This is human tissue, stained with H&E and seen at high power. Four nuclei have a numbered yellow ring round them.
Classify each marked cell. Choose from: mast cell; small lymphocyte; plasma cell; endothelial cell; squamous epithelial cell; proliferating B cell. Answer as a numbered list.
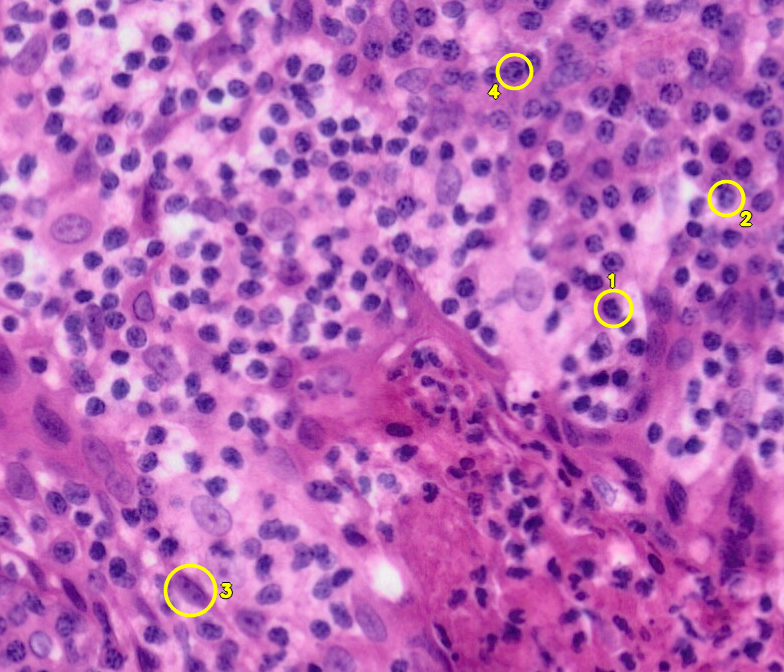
1. plasma cell
2. plasma cell
3. squamous epithelial cell
4. plasma cell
